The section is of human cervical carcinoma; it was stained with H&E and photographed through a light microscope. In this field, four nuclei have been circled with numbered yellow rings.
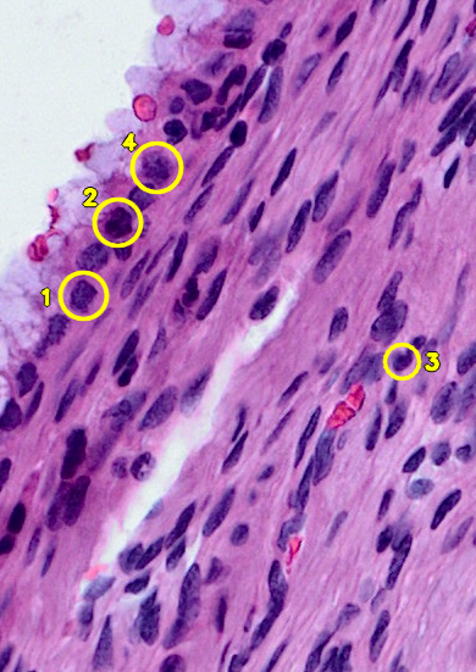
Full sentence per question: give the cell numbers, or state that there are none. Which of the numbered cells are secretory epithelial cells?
The cells tagged 1, 2 and 4 are secretory epithelial cells in this tissue section.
